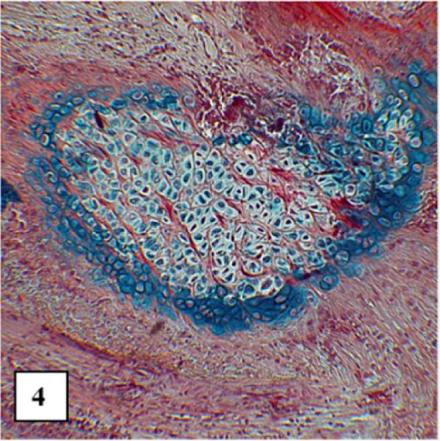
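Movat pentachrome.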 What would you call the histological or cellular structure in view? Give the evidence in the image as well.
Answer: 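A rounded, well-delimited island of cells, each lying in its own clear space, sits in the middle. The island is surrounded by wavy fibrous tissue with elongated cells. The answer: chondrocytes nest.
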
